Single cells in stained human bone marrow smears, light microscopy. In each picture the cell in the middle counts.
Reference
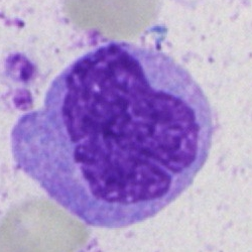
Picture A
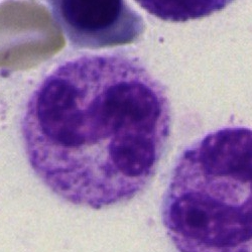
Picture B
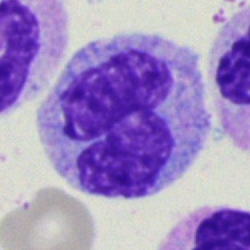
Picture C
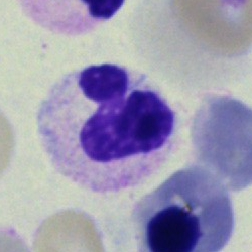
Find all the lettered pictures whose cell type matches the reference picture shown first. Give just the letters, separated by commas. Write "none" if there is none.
B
